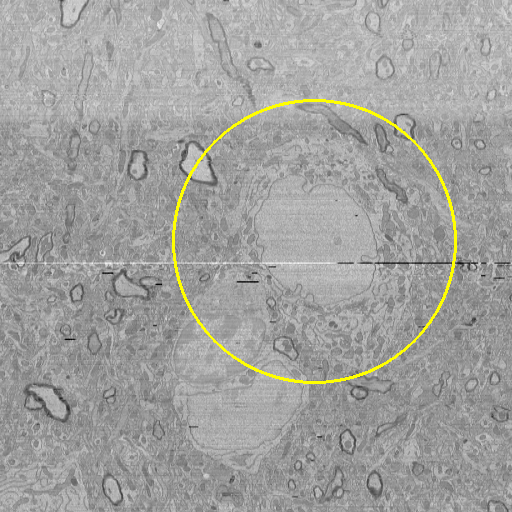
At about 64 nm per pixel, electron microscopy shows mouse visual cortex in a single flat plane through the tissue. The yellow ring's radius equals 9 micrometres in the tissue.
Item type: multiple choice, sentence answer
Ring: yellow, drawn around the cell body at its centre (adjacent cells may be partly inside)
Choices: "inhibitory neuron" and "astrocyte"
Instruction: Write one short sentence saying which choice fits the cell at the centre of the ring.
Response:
This ring is drawn around an inhibitory neuron.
